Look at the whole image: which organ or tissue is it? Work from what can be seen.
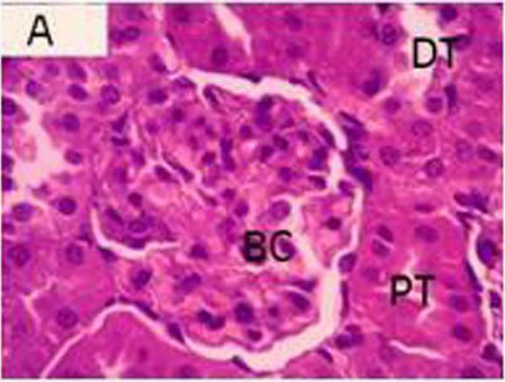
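Renal tissues. A rounded capillary tuft surrounded by a thin capsule with a clear space around it. Cross-sectioned tubules lined by cuboidal epithelium with pink cytoplasm surround it.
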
